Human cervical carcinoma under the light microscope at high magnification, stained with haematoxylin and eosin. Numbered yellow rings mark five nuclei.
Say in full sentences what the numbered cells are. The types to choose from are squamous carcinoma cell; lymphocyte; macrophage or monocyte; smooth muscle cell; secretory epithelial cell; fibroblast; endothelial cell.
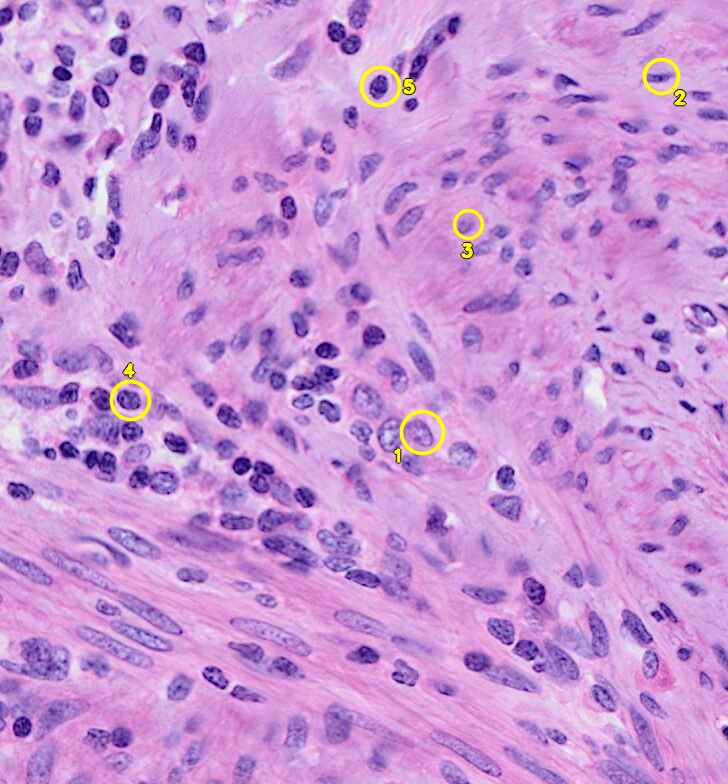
Cell 1 is an endothelial cell, cell 2 is a fibroblast, cell 3 is a smooth muscle cell, cell 4 is a lymphocyte and cell 5 is a lymphocyte.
